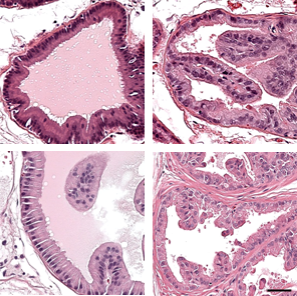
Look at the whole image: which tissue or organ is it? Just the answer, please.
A: Prostate tissue.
